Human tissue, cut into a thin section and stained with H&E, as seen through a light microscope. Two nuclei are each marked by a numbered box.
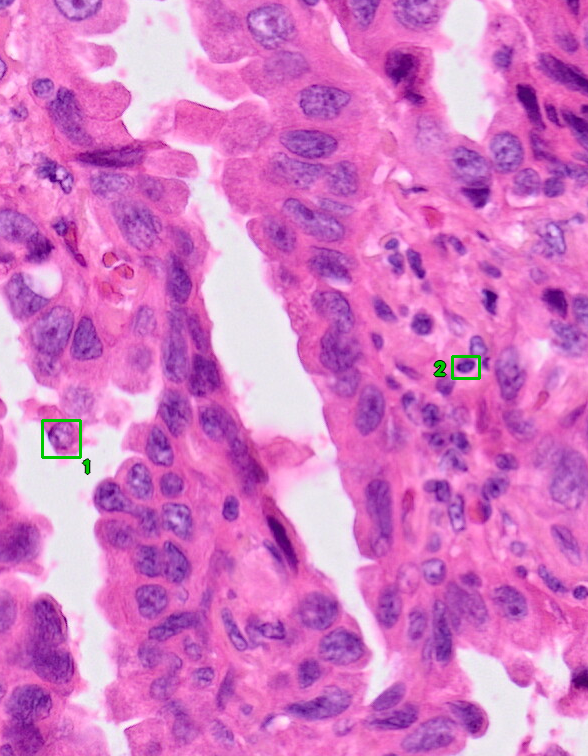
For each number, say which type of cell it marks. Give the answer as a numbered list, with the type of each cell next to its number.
1. macrophage or monocyte
2. lymphocyte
